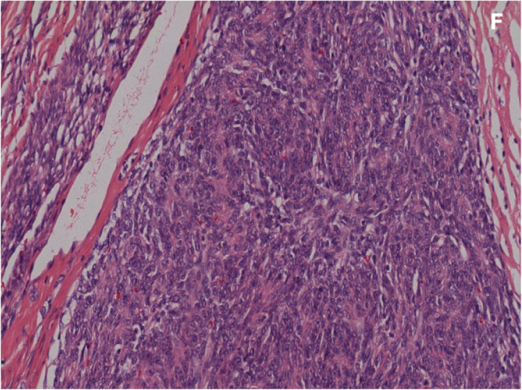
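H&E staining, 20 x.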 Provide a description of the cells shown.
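Higher view of a dense cellular lobe bordered by fibrous septa. The septa are pink collagen strands flanking a narrow empty cleft. The lobe consists of crowded cells with oval to spindle-shaped, dark purple nuclei and scant pale pink cytoplasm. The cells are arranged in sheets with a vaguely swirling pattern. The nuclei are fairly uniform in size, with no striking atypia. Thin fibrous strands at the margins also contain scattered elongated nuclei.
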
